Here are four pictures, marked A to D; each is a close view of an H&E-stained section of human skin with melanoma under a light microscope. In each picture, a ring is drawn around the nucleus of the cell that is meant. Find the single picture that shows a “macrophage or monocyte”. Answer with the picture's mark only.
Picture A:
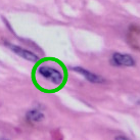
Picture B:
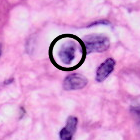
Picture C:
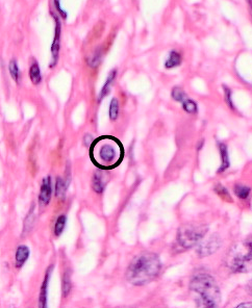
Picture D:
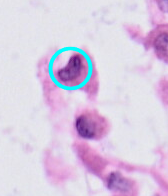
D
